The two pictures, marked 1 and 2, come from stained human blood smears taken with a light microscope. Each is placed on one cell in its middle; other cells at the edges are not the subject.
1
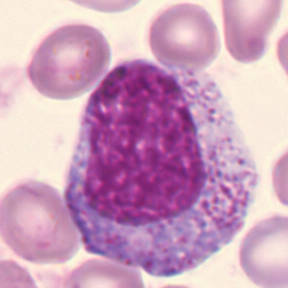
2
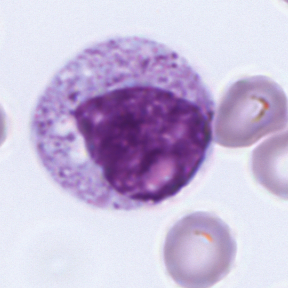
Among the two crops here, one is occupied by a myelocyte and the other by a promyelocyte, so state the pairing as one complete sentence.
The cell in crop 1 is a promyelocyte; the cell in crop 2 is a myelocyte.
